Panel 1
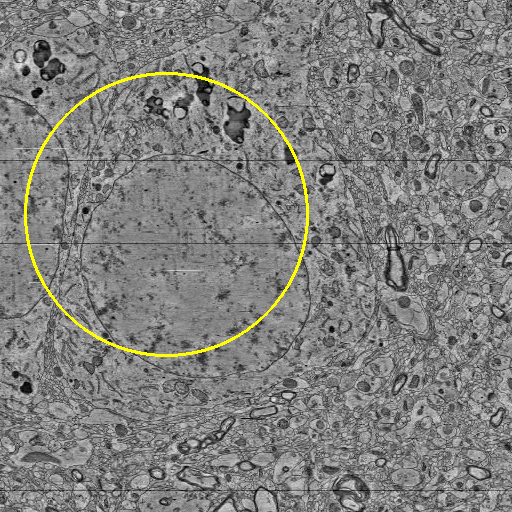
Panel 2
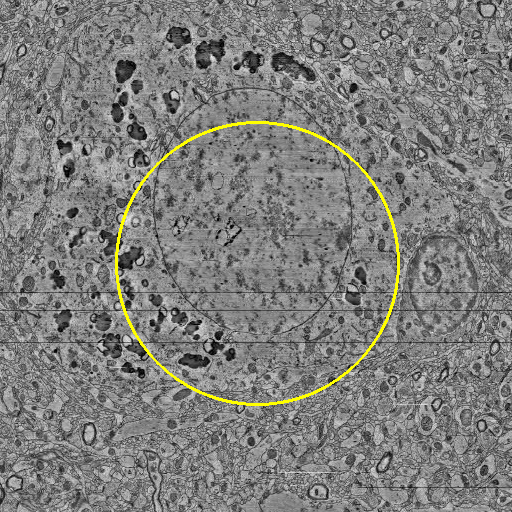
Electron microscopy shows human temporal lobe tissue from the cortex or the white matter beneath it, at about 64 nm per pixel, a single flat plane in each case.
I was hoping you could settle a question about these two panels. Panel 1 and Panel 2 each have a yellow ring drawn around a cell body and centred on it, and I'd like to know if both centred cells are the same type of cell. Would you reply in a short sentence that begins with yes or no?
Yes, both are the same type of cell.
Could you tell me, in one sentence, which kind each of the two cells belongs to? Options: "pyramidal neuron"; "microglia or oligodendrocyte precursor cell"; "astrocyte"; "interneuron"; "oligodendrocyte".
The first and the second cell are each a pyramidal neuron.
